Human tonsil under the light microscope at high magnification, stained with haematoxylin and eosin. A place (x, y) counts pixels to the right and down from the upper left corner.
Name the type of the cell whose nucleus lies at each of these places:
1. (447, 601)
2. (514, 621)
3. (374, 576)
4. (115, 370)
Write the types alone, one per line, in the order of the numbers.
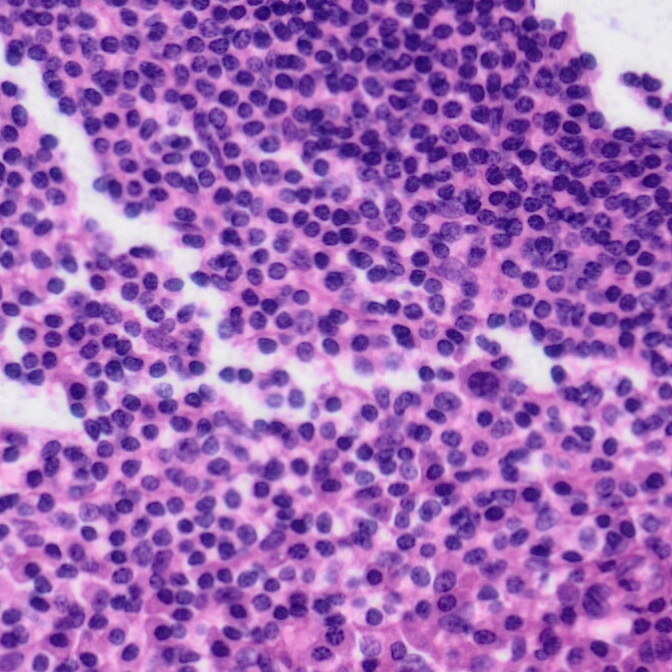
plasma cell
plasma cell
plasma cell
small lymphocyte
